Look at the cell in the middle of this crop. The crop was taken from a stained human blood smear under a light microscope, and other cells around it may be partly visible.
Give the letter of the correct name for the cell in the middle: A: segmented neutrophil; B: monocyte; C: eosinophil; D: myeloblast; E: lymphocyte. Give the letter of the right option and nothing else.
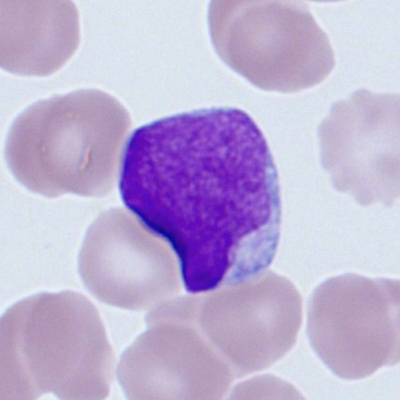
D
